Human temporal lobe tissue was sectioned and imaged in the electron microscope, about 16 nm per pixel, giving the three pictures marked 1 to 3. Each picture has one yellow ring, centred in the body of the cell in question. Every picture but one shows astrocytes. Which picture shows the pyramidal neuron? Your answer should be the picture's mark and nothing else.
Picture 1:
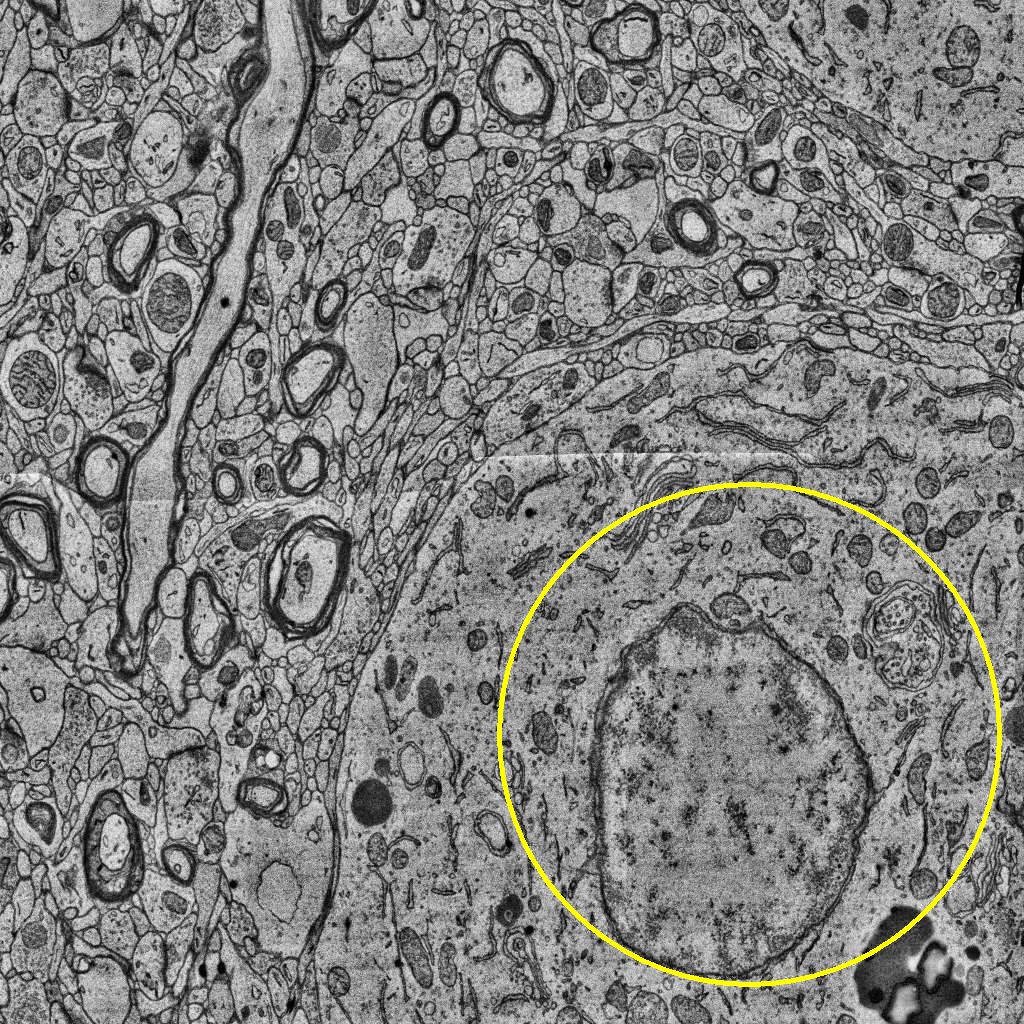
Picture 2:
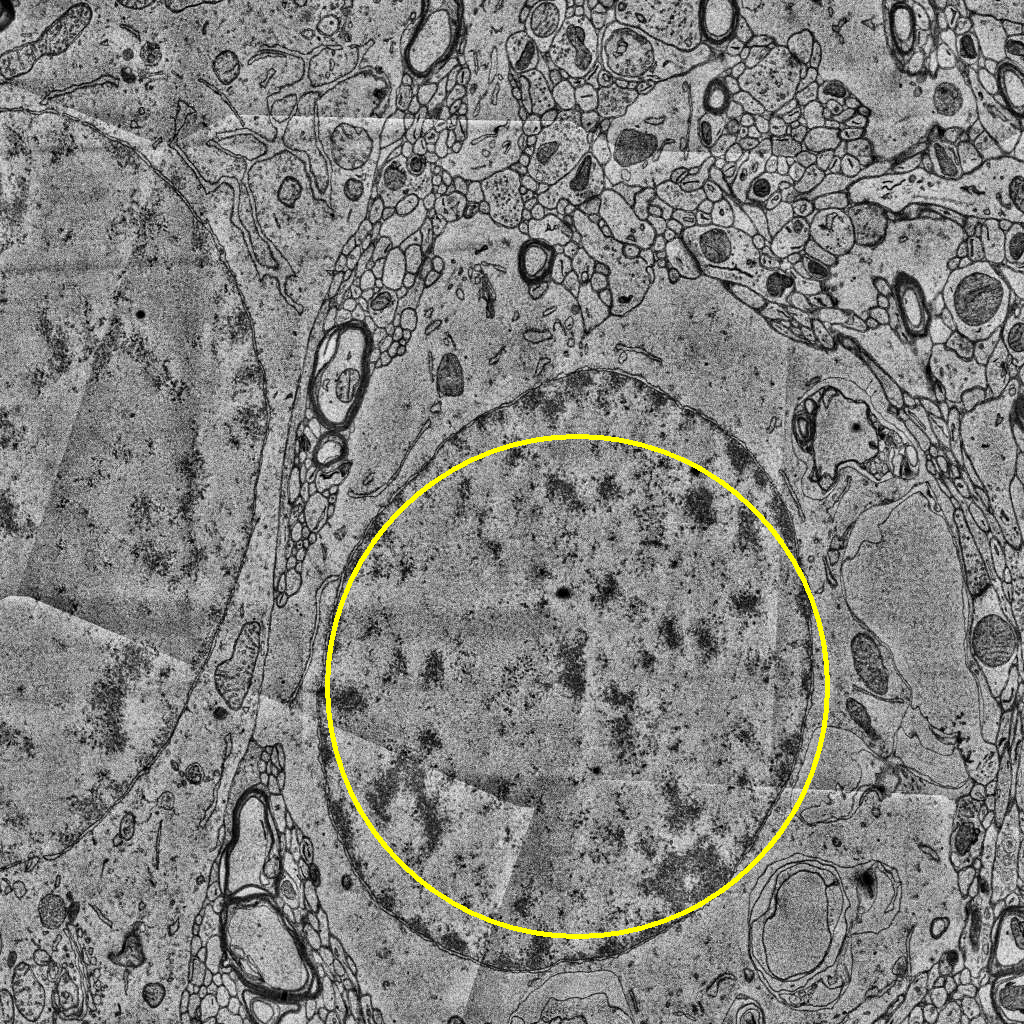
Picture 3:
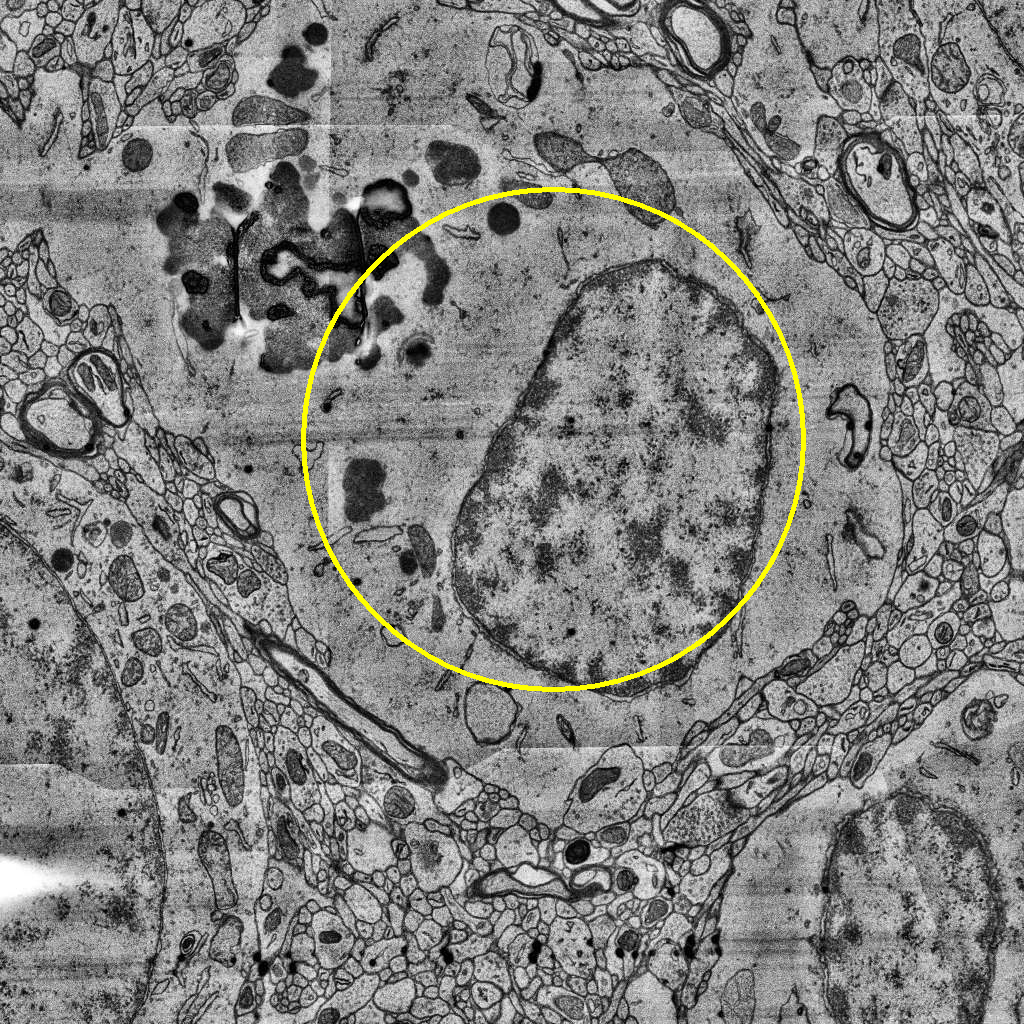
1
